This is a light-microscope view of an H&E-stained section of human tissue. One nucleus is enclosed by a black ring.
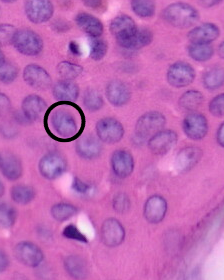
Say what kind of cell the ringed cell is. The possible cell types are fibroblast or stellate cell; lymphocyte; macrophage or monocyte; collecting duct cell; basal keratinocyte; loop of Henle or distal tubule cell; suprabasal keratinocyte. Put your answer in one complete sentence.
As a matter of cell type, the ringed cell is a suprabasal keratinocyte.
